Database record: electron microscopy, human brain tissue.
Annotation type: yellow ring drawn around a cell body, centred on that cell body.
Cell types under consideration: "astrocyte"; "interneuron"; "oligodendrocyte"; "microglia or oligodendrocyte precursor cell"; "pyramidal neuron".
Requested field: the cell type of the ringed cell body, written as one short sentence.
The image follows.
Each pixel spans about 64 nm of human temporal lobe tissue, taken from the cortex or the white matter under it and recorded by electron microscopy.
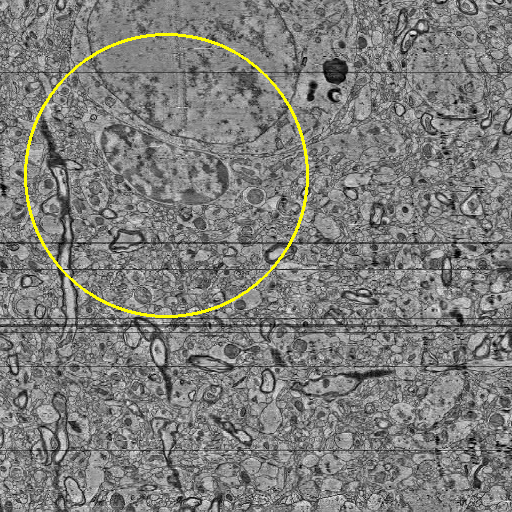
The ringed cell body represents a microglial cell or oligodendrocyte precursor cell.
